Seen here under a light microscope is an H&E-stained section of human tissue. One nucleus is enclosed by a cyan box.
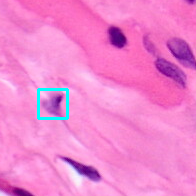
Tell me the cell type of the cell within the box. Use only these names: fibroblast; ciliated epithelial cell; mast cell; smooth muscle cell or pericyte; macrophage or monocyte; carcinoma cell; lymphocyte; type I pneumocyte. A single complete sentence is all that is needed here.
It is a fibroblast that the cell within the box represents.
